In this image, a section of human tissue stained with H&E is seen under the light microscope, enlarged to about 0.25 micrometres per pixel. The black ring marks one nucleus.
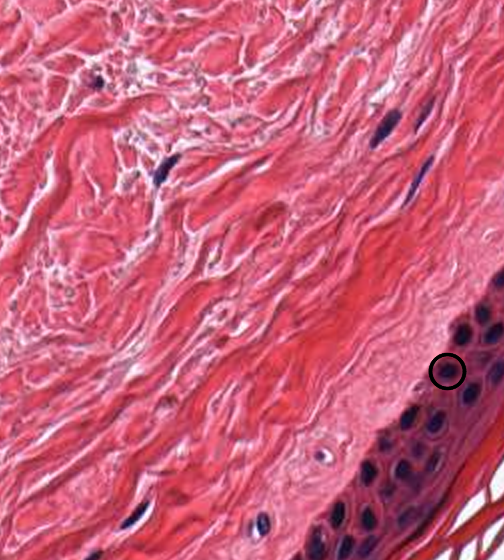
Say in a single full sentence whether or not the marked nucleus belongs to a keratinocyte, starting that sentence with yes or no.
Yes, the marked nucleus is a nucleus of a keratinocyte.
